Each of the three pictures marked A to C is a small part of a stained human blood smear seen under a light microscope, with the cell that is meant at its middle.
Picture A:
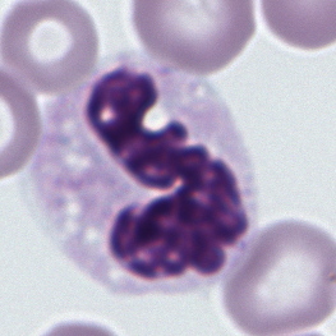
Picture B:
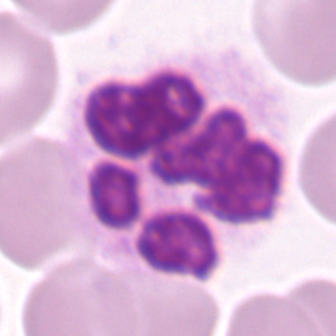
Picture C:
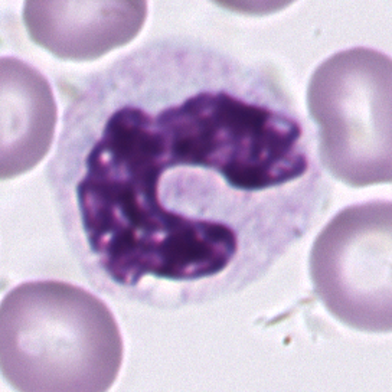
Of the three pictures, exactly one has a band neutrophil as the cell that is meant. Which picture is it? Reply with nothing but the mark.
C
